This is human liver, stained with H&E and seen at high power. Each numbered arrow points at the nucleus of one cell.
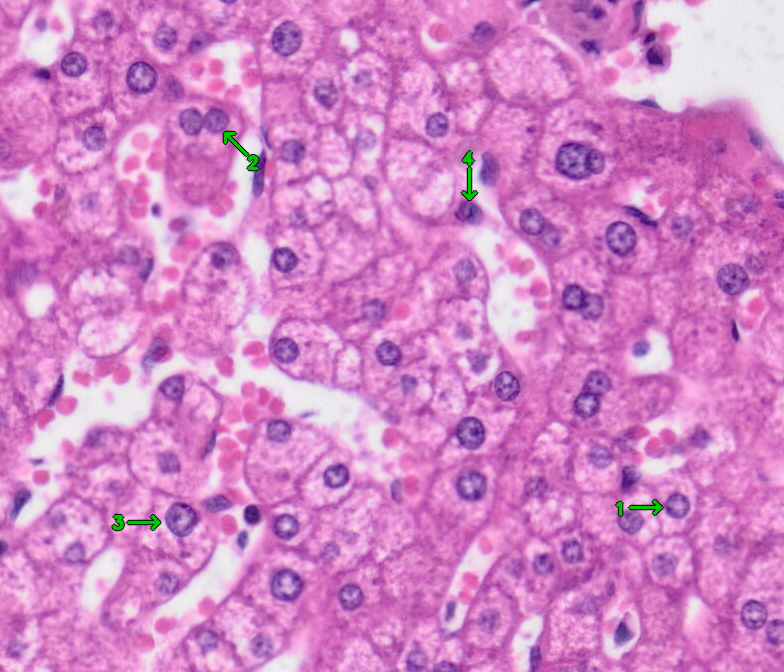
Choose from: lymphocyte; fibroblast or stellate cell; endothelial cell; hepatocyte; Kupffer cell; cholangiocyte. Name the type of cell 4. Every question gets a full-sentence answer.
The cell identified by number 4 is a Kupffer cell.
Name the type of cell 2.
Here the cell numbered 2 is a hepatocyte.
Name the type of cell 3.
The cell tagged with 3 in this tissue section is a hepatocyte.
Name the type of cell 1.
The cell that bears the number 1 is a hepatocyte.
